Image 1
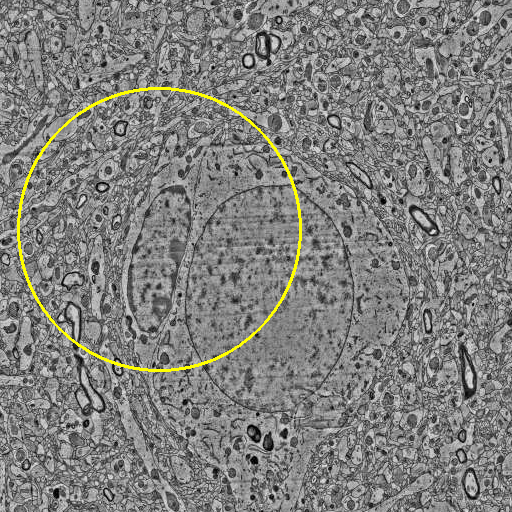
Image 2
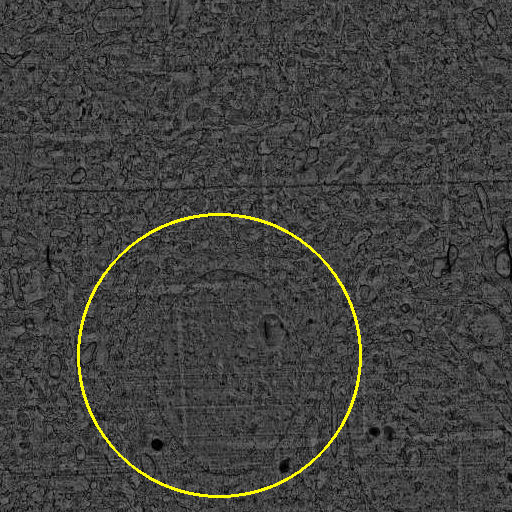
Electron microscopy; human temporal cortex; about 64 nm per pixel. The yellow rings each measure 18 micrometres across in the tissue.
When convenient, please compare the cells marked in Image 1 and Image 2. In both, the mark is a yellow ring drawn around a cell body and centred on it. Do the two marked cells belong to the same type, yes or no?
no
